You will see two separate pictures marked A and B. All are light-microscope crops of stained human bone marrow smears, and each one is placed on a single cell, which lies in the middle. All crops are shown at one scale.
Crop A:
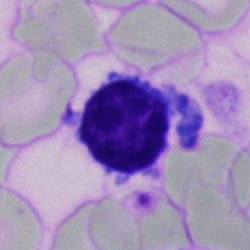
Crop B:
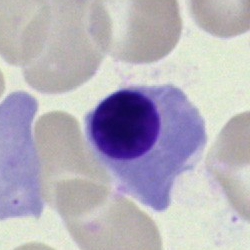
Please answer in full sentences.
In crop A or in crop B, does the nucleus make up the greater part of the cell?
Of the two, the nucleus in crop A makes up the greater part of its cell.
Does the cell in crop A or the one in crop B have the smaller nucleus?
The nucleus in crop B is smaller; the one in crop A has about 2 times its area.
